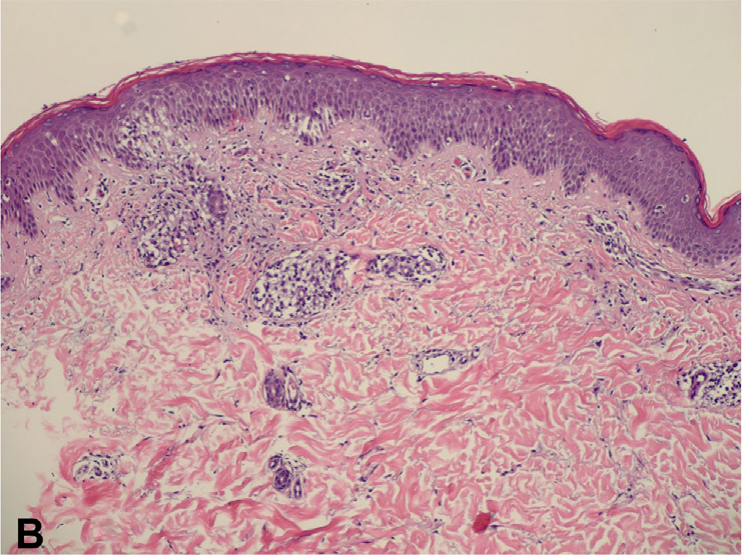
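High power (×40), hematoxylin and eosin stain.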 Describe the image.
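This is skin, with a stratified squamous epidermis on top and pink collagen of the dermis below. In the upper dermis, small round cells with dark, compact nuclei and scant cytoplasm gather in dense cuffs around small blood vessels, typical of a lymphocytic infiltrate, and smaller cuffs surround vessels deeper down. The epidermis is somewhat thickened, with a thin pink cornified layer on its surface.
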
